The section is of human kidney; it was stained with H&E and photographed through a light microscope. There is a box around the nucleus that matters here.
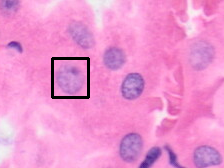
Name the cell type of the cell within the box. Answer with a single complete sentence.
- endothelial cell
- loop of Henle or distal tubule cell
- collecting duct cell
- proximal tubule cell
It is as a proximal tubule cell that the cell within the box is recorded.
